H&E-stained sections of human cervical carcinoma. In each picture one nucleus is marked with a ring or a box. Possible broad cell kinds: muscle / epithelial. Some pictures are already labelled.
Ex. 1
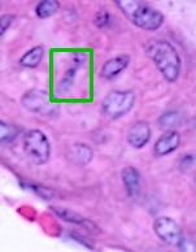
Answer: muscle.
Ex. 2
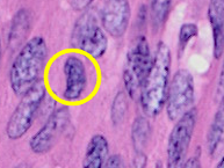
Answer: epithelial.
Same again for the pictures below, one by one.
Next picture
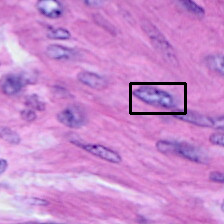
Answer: muscle.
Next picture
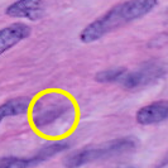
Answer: muscle.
